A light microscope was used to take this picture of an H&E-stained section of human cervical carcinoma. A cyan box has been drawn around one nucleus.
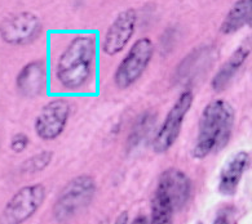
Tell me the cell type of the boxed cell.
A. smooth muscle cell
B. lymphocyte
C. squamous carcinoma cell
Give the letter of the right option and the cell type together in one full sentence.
Under option C, the boxed cell is listed as a squamous carcinoma cell, which is correct.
